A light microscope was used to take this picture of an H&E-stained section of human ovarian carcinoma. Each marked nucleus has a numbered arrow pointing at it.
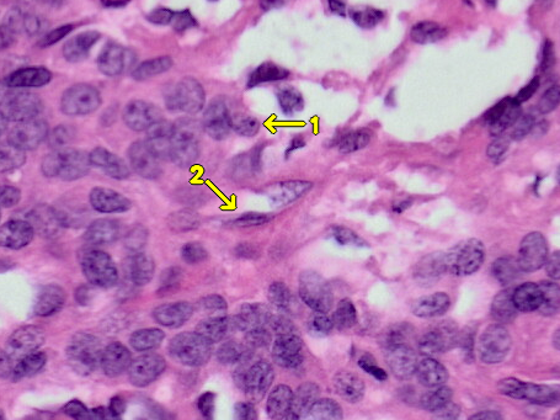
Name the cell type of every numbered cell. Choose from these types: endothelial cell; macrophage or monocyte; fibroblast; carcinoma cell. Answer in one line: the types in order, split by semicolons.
macrophage or monocyte; endothelial cell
